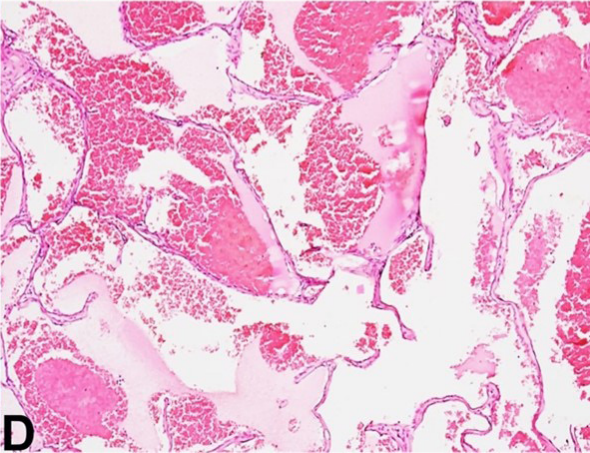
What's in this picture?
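Large, irregular, widely dilated spaces take up the whole field, divided by delicate thin septa. The spaces are packed with masses of small red anucleate cells, mixed with pale pink homogeneous fluid, and some parts of the spaces are empty. The walls lining them are extremely thin, with only scattered flat, elongated nuclei and no thick muscular or multilayered coat. There is no solid tissue between the spaces beyond these slender partitions. These are cystically dilated vascular spaces of a cavernous hemangioma, lined by a flattened single layer of endothelium and containing erythrocytes.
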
